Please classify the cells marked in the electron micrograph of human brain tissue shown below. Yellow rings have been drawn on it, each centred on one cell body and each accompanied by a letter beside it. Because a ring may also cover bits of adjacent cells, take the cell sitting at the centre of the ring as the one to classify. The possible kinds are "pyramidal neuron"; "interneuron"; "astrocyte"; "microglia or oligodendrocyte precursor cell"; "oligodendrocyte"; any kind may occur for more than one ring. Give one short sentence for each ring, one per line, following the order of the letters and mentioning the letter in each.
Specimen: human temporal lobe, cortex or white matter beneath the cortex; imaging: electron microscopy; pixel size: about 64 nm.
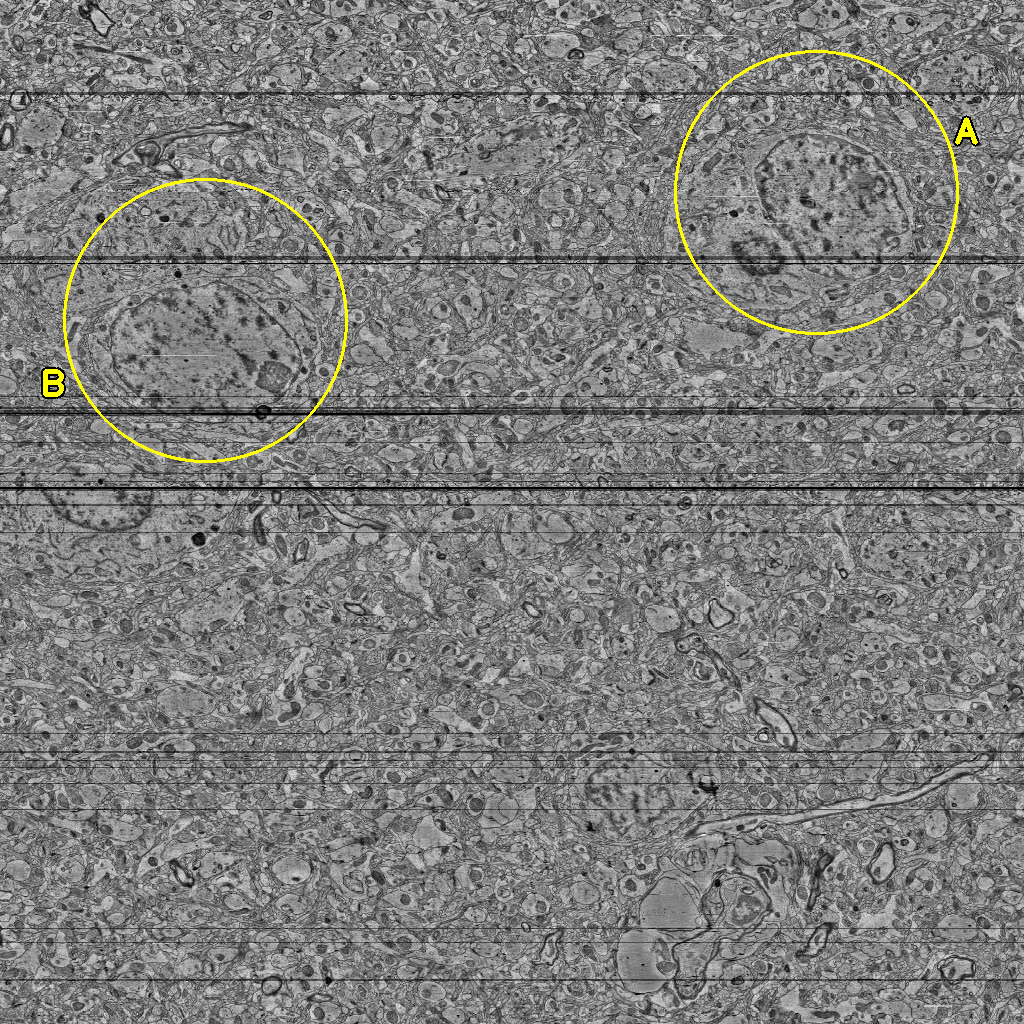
Ring A marks the cell body of a microglial cell or oligodendrocyte precursor cell.
Ring B marks the cell body of a pyramidal neuron.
